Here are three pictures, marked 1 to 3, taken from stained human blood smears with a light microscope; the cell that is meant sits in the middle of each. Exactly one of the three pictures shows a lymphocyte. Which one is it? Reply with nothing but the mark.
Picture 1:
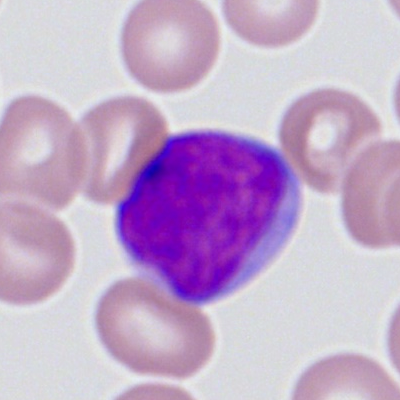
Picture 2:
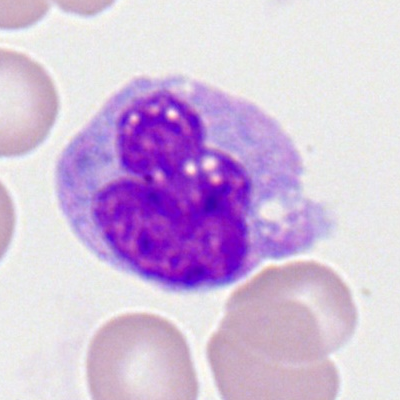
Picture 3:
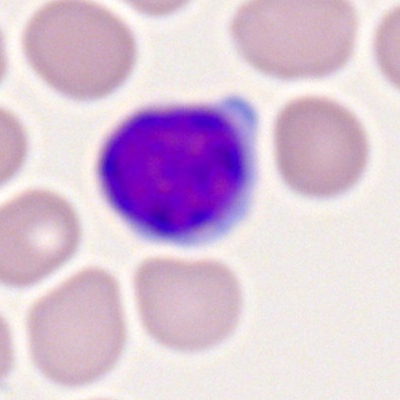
3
